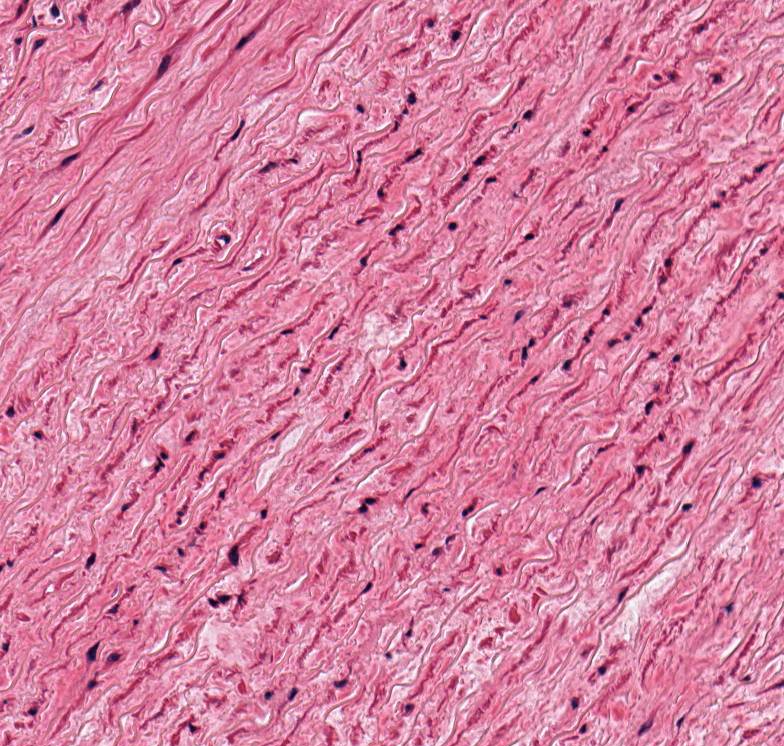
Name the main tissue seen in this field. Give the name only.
tunica media of an artery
